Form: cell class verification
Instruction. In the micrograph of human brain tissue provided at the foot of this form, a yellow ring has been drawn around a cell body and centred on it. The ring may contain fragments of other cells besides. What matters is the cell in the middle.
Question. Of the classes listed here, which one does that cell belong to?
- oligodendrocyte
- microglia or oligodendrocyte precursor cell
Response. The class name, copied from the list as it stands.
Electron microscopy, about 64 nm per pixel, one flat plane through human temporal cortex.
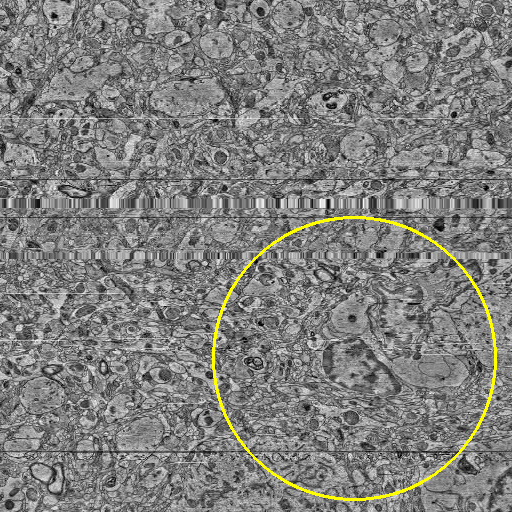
microglia or oligodendrocyte precursor cell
